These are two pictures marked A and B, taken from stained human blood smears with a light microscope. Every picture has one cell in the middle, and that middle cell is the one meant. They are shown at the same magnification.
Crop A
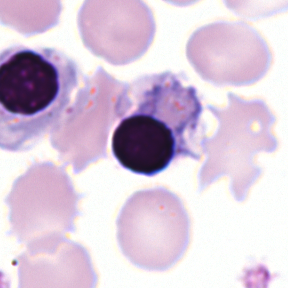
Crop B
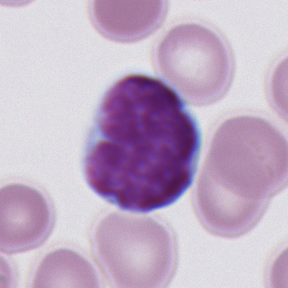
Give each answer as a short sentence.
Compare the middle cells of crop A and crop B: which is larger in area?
It is the cell in crop B, about 2.5 times as large in area as the cell in crop A.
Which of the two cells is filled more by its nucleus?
In crop B the nucleus takes up the larger part of its cell.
